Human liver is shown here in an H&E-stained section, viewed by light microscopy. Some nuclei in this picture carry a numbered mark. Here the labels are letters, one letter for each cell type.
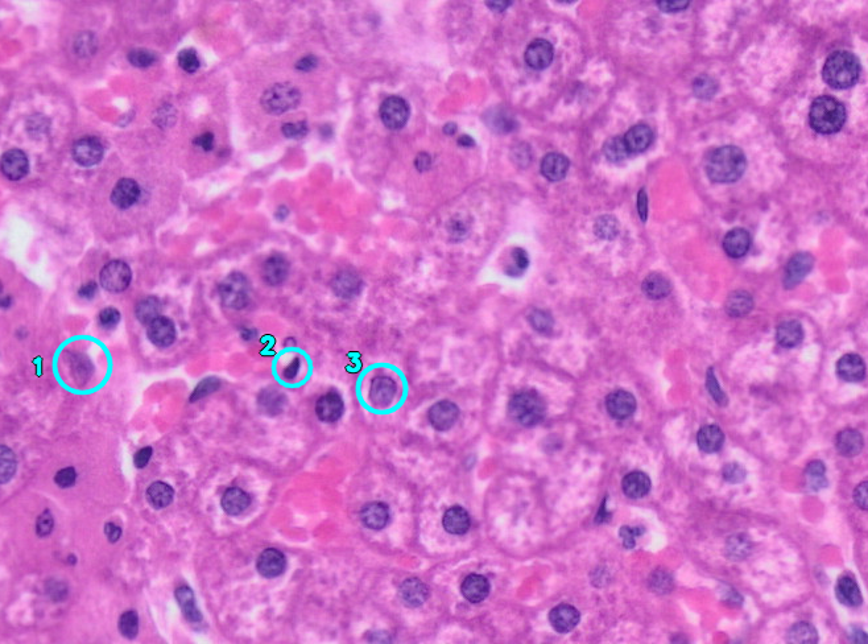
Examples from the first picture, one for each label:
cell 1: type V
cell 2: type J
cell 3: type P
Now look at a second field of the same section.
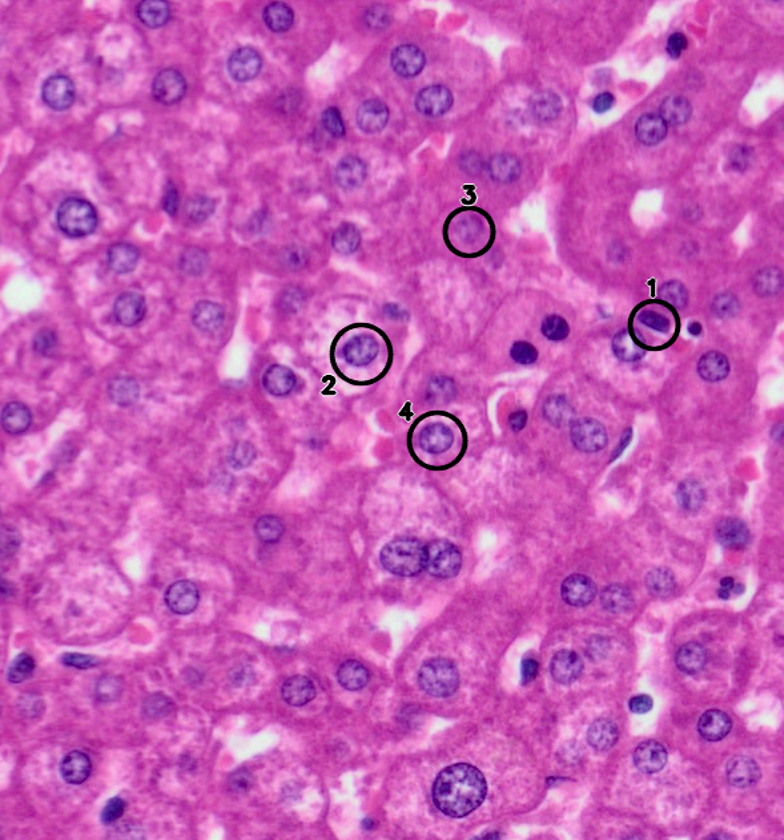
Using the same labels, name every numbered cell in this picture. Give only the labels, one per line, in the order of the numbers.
type J
type P
type P
type P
